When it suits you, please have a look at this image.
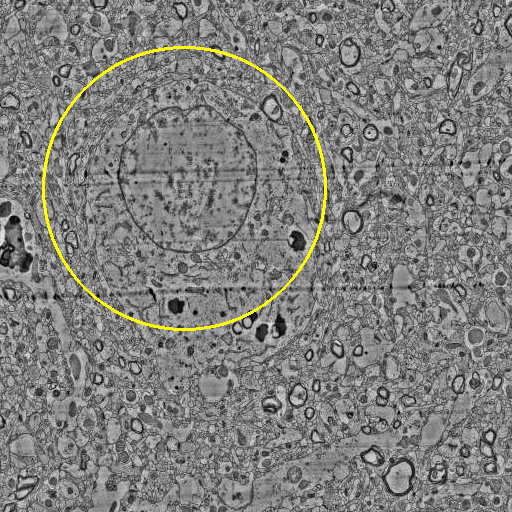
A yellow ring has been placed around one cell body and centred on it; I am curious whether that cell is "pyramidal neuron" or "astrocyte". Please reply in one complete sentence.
The ringed cell, a pyramidal neuron, has its body at the centre of the yellow ring.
